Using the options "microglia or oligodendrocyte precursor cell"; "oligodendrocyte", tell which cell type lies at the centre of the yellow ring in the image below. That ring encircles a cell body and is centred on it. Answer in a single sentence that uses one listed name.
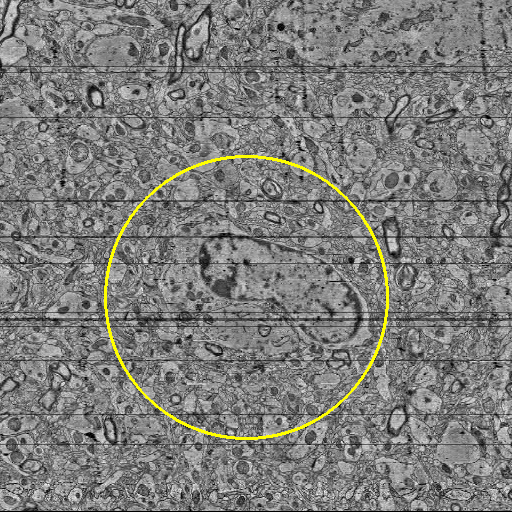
At the centre of the yellow ring lies the body of a microglial cell or oligodendrocyte precursor cell.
